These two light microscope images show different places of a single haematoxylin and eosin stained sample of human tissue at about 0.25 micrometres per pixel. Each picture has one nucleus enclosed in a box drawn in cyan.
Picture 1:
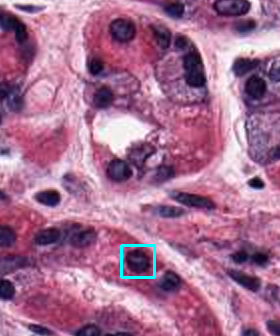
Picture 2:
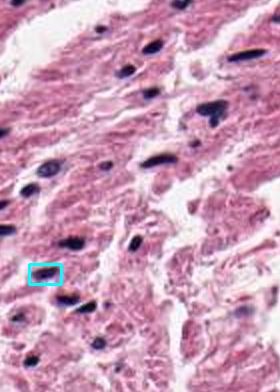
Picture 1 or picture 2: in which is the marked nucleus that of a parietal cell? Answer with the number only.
1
